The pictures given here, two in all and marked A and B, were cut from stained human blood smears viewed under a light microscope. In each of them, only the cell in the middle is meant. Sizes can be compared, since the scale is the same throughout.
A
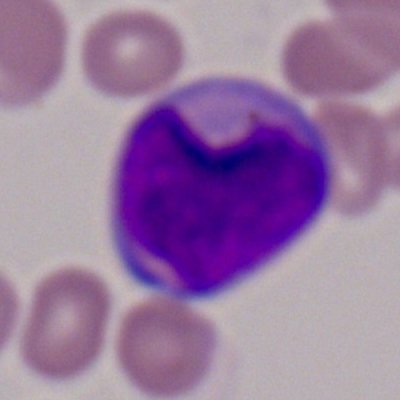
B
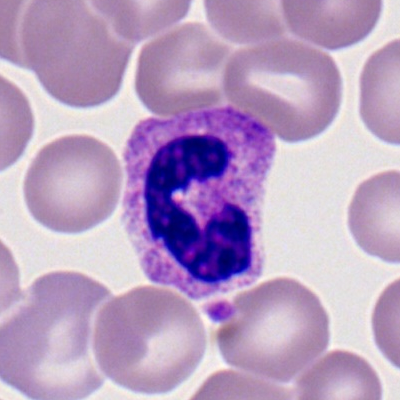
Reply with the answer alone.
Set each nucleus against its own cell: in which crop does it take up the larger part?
A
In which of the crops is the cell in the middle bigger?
A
